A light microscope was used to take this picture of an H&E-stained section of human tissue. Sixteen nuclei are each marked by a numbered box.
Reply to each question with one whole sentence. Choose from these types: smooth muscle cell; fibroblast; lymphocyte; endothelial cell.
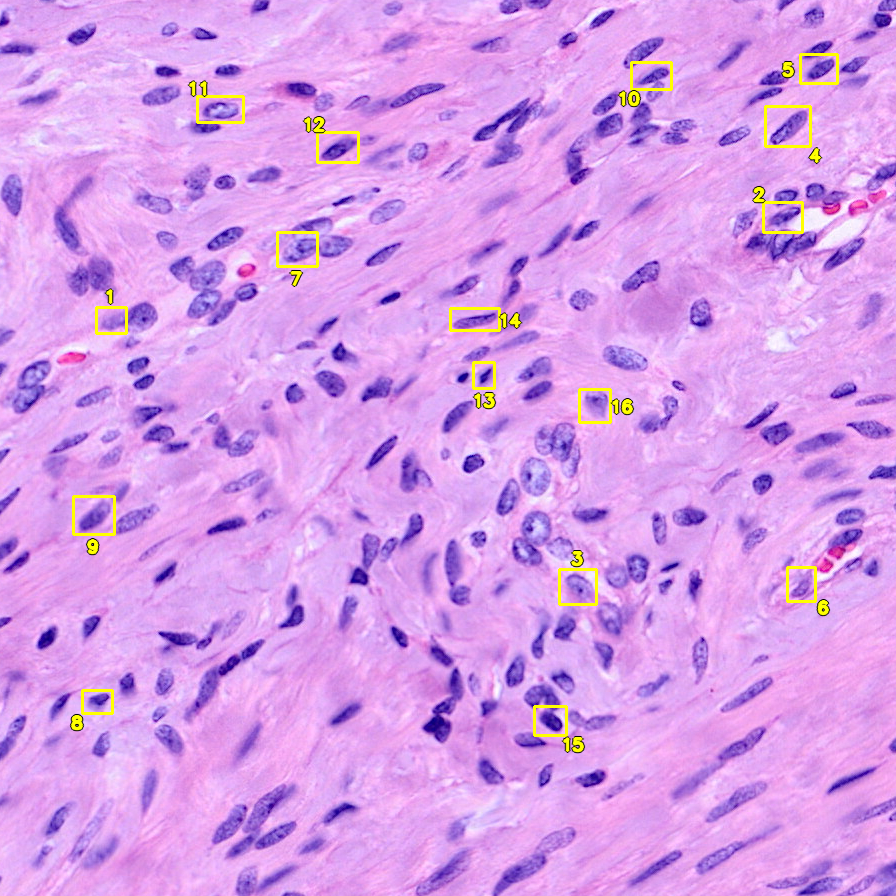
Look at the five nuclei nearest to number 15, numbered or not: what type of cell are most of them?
Most of the five nuclei nearest to number 15 are those of fibroblasts.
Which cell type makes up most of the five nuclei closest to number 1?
Most of the five nuclei nearest to number 1 are those of endothelial cells.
